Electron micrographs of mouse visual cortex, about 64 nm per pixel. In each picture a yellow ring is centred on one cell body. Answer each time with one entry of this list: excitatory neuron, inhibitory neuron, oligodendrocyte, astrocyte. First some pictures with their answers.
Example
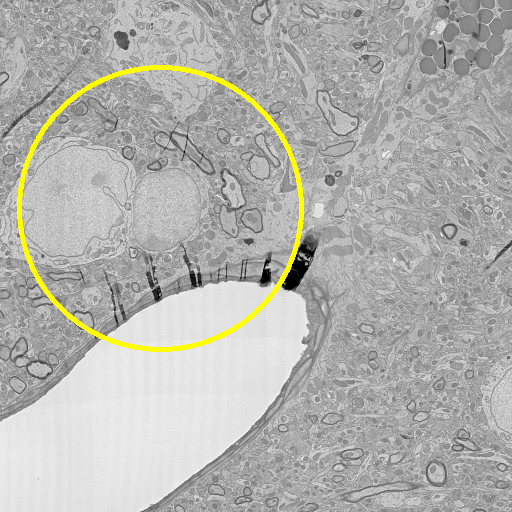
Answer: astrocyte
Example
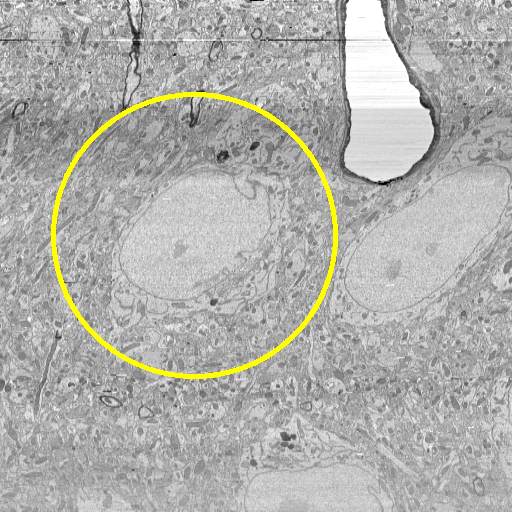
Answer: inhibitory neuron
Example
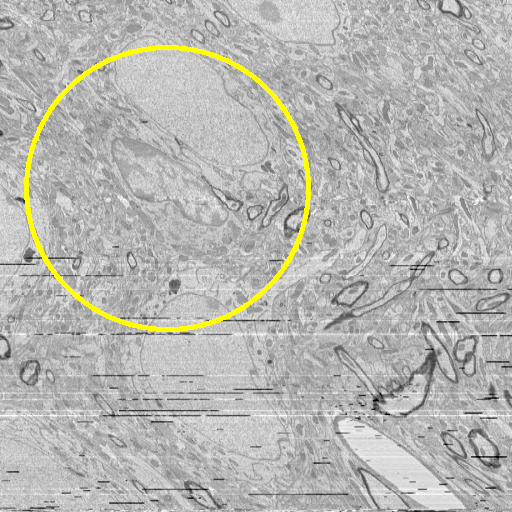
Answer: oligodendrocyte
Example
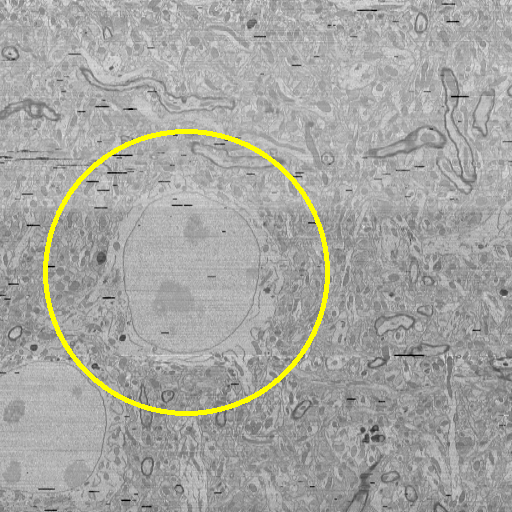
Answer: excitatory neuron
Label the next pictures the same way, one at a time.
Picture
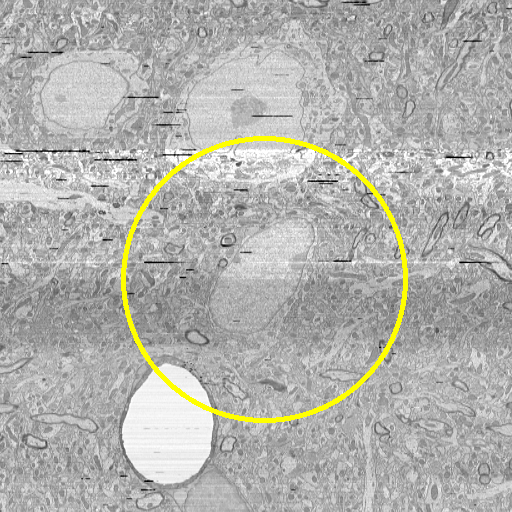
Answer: astrocyte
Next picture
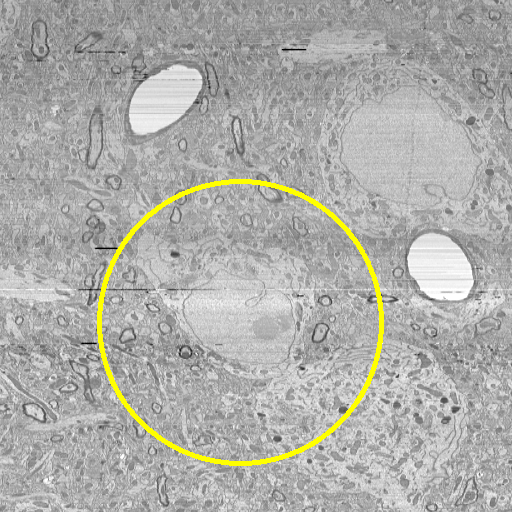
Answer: excitatory neuron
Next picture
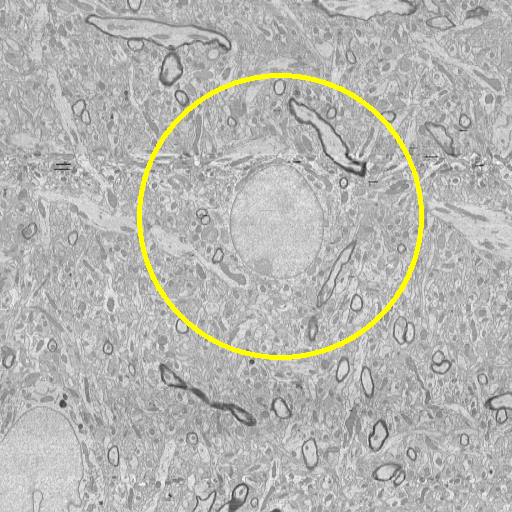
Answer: astrocyte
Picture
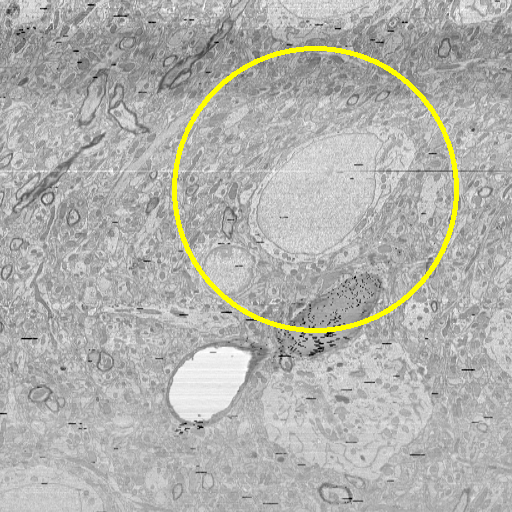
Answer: inhibitory neuron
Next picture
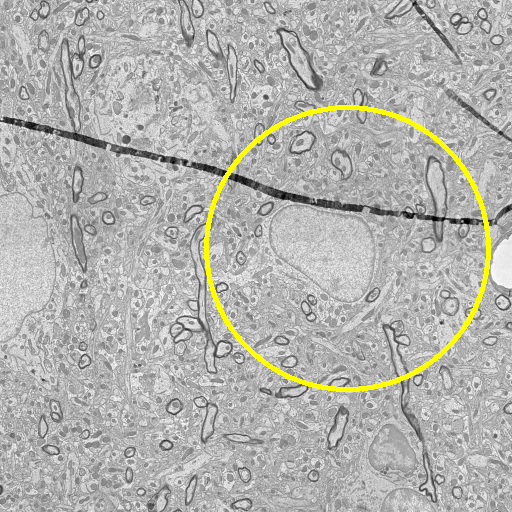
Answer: astrocyte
